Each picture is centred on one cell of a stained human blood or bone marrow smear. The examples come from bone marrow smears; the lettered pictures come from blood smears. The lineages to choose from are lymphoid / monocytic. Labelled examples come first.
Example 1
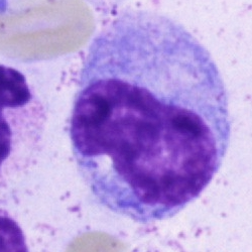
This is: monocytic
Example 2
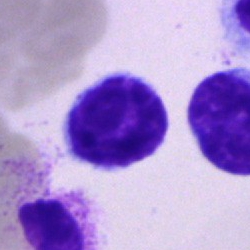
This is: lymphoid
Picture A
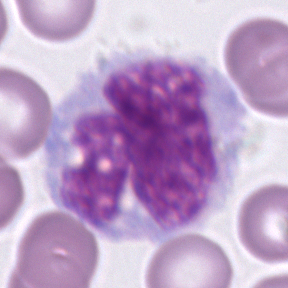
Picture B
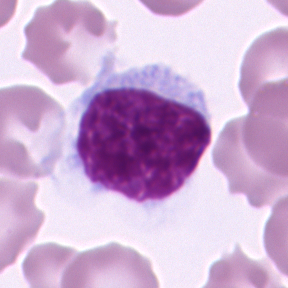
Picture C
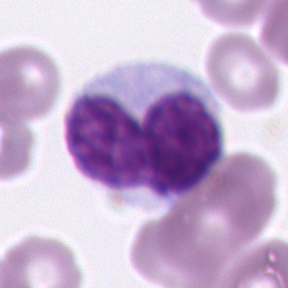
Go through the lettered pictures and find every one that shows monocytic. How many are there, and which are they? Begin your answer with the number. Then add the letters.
Count: 2 (A, C)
